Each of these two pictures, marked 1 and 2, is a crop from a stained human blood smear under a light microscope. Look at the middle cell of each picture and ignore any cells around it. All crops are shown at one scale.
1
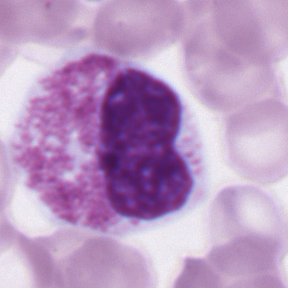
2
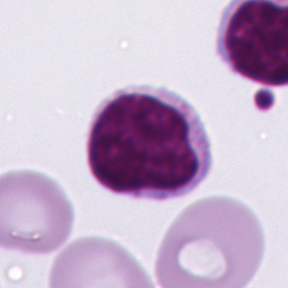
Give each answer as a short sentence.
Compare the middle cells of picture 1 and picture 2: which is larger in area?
Picture 1 holds the larger cell; it covers about 2 times the area of the cell in picture 2.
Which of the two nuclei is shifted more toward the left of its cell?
It is the nucleus in picture 2 that lies further toward the left of its cell.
